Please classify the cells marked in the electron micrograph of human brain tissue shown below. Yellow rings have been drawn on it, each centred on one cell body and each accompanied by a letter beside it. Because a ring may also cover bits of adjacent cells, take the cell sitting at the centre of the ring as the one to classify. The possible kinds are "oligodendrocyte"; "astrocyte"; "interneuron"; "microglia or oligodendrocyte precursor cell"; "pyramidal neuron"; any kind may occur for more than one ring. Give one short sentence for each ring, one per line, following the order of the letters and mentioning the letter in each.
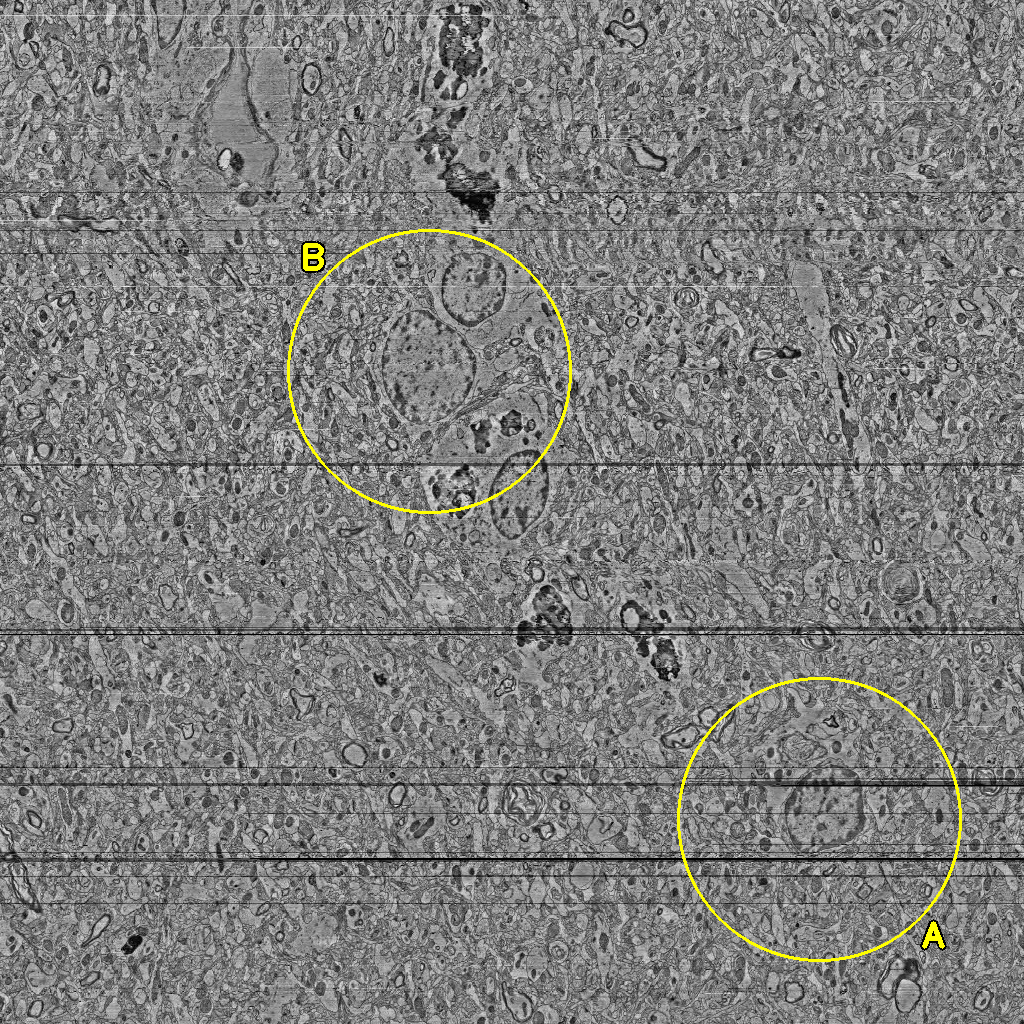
Ring A marks the cell body of a microglial cell or oligodendrocyte precursor cell.
Ring B marks the cell body of an astrocyte.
